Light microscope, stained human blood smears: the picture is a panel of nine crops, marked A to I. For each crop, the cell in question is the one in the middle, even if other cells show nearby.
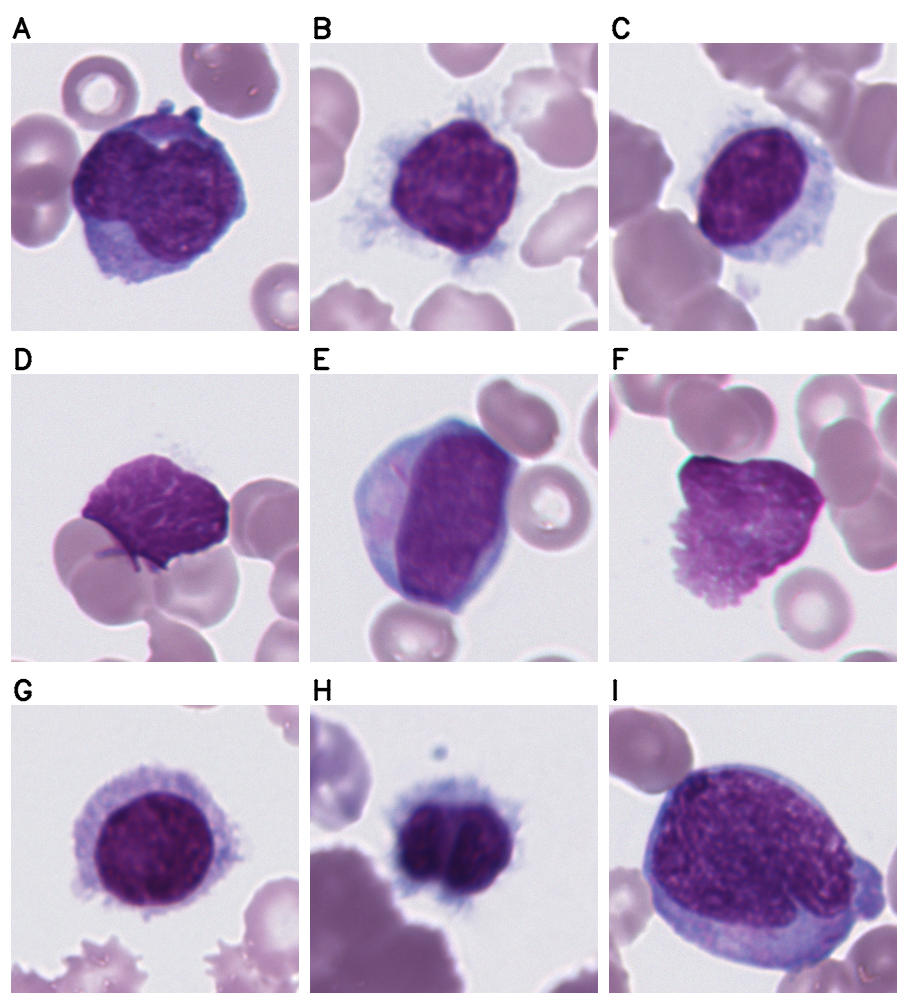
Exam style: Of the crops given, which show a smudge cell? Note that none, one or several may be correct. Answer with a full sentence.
Crops D and F are the crops whose central cells are smudge cells.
